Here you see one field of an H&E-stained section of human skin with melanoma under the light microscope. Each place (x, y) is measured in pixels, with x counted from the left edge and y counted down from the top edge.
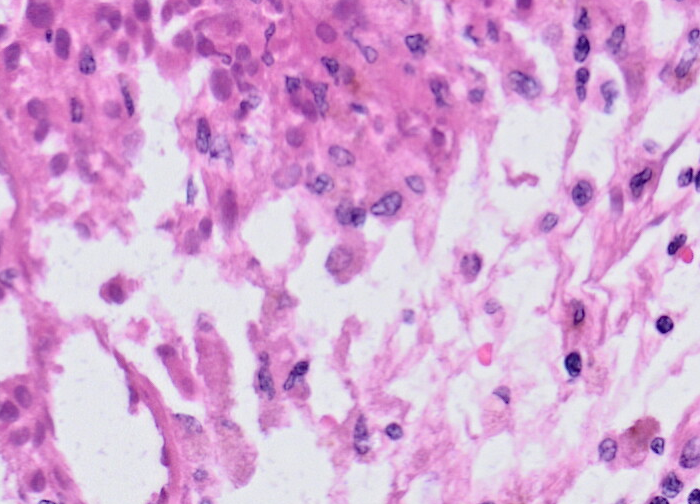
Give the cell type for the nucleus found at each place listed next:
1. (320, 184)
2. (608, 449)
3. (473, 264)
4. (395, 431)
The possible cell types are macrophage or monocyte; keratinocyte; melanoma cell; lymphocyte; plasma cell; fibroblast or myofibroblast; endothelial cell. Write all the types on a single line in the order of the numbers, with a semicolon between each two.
macrophage or monocyte; macrophage or monocyte; macrophage or monocyte; lymphocyte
